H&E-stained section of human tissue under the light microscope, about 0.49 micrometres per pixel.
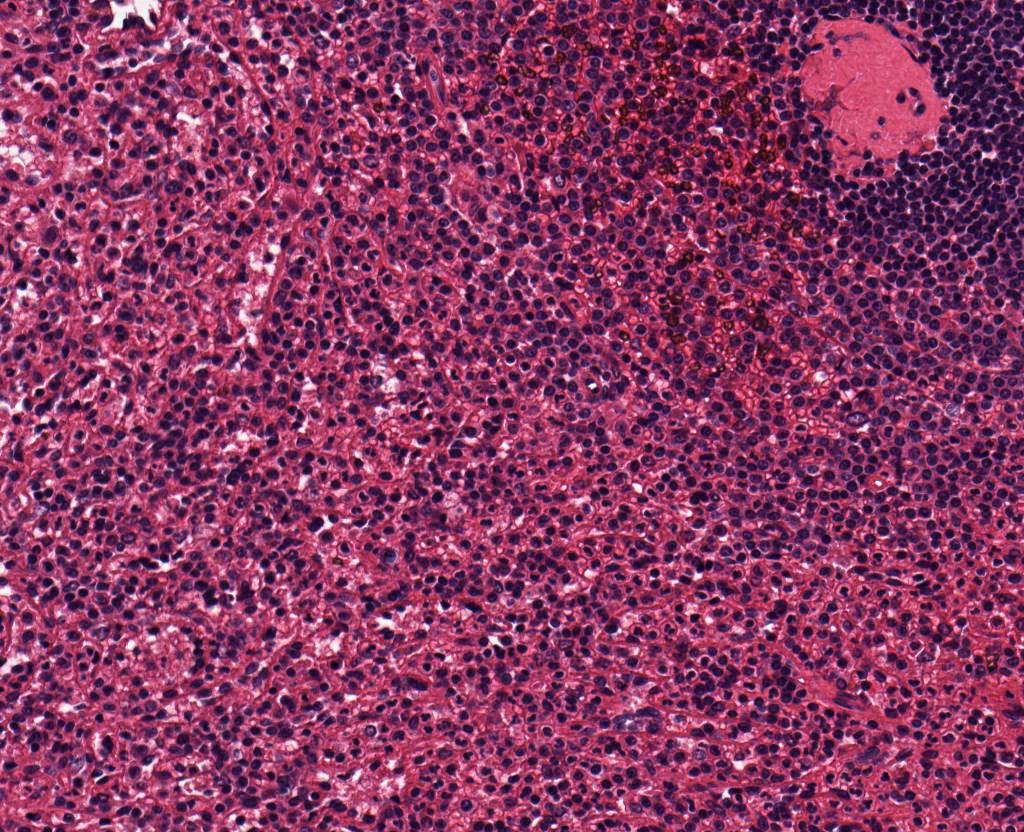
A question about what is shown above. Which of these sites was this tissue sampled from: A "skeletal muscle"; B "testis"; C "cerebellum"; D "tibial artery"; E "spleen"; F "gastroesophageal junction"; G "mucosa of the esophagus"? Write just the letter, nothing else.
E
